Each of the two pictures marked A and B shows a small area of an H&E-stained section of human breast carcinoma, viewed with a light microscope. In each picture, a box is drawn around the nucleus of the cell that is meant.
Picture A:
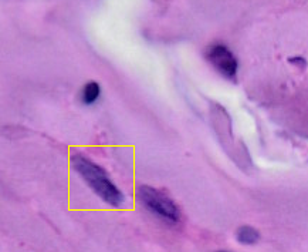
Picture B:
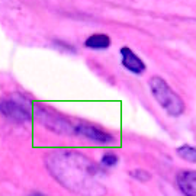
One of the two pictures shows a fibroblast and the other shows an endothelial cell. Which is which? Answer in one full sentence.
The cell in picture A is a fibroblast, and the one in picture B is an endothelial cell.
